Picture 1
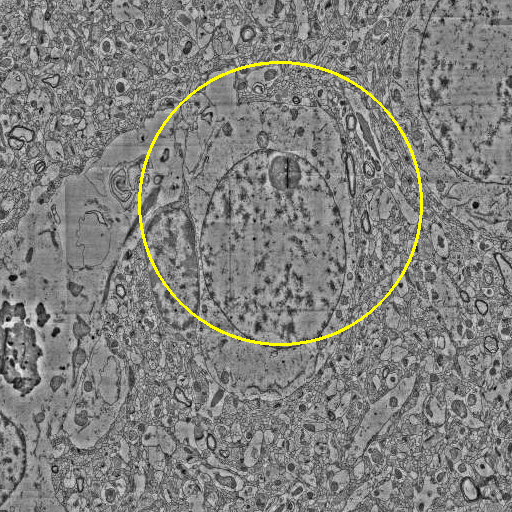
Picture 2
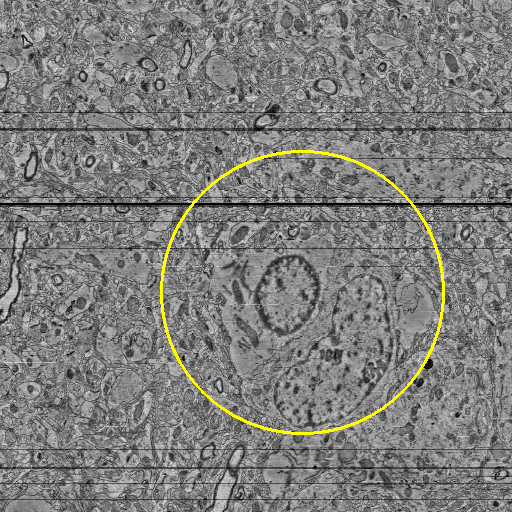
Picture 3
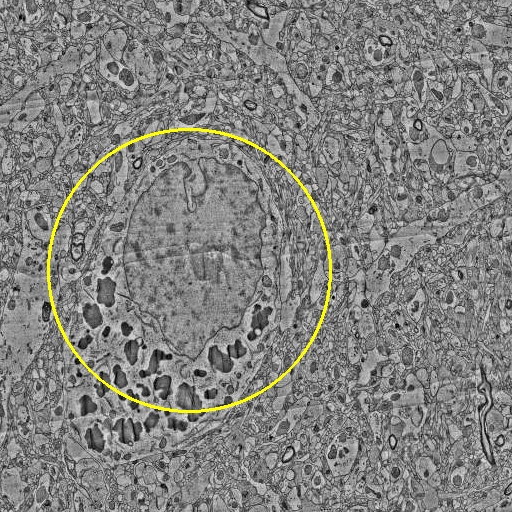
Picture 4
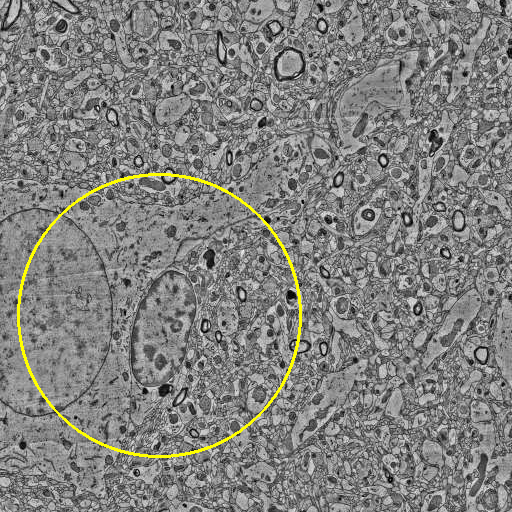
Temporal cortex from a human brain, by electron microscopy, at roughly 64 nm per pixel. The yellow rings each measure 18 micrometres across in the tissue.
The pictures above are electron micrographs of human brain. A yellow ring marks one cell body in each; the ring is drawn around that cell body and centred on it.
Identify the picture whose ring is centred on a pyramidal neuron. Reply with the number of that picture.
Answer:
1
